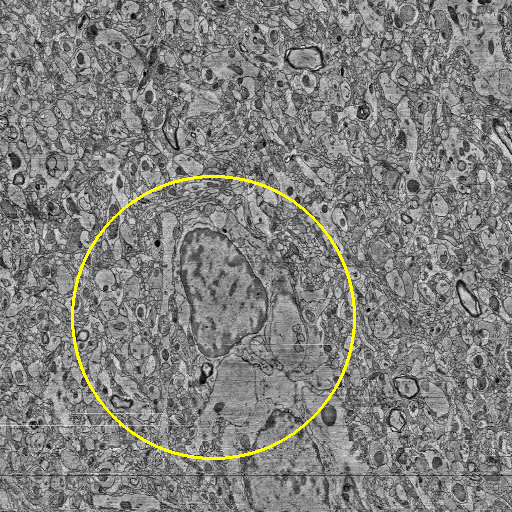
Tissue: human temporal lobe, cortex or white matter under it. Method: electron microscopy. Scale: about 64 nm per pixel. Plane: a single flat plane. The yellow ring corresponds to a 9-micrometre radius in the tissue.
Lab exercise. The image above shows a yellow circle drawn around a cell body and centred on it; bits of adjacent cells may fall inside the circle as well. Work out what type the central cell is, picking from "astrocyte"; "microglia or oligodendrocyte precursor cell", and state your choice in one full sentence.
In the image above, the cell at the centre of the yellow circle is a microglial cell or oligodendrocyte precursor cell.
